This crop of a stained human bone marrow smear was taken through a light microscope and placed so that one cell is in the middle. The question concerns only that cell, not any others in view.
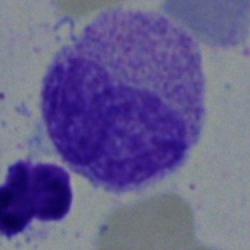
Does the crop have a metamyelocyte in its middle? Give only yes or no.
no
